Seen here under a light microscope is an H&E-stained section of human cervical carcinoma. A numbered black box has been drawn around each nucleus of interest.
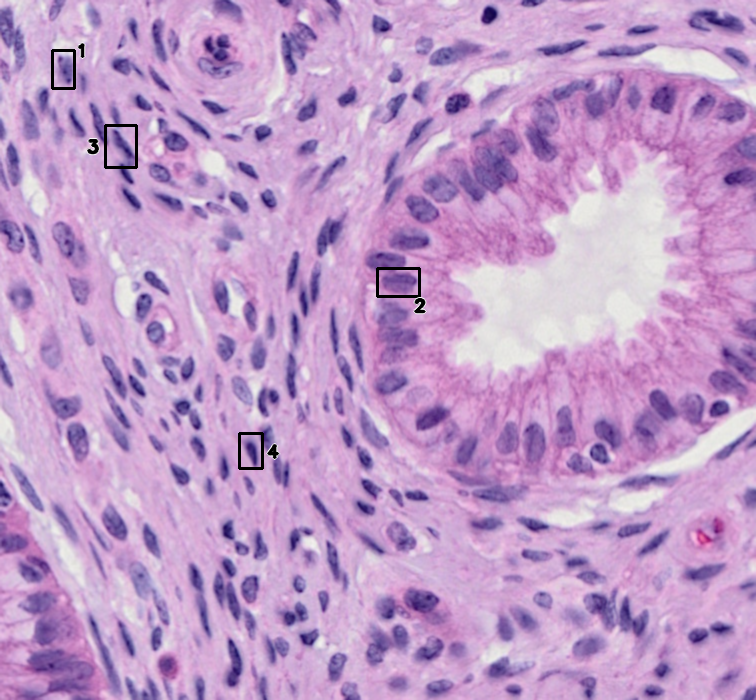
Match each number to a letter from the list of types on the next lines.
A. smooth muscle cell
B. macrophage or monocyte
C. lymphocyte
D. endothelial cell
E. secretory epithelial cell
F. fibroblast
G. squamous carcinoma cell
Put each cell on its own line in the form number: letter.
1: F
2: E
3: F
4: F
